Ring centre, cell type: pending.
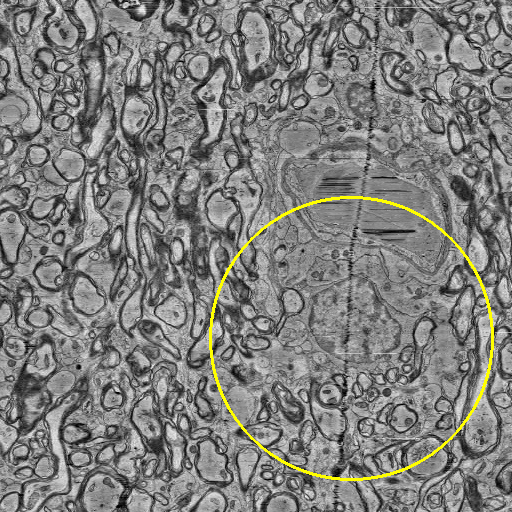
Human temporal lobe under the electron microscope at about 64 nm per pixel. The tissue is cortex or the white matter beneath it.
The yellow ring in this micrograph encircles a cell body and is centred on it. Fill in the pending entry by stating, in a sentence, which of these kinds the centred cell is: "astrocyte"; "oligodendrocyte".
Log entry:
The centred cell is recorded as an oligodendrocyte.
